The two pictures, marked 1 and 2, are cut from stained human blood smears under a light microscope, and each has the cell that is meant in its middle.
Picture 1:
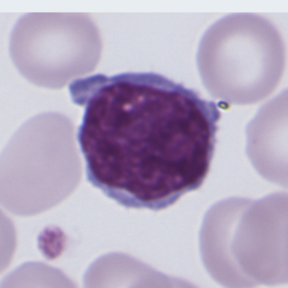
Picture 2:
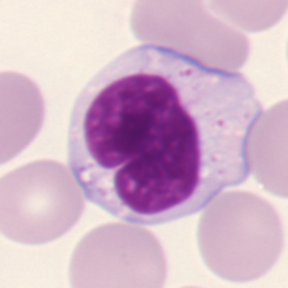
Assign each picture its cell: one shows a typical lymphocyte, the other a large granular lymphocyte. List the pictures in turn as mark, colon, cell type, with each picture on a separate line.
1: typical lymphocyte
2: large granular lymphocyte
